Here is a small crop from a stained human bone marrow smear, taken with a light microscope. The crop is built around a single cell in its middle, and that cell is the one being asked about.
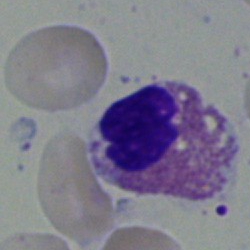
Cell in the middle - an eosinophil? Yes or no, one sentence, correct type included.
Yes, centred in the crop is an eosinophil.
